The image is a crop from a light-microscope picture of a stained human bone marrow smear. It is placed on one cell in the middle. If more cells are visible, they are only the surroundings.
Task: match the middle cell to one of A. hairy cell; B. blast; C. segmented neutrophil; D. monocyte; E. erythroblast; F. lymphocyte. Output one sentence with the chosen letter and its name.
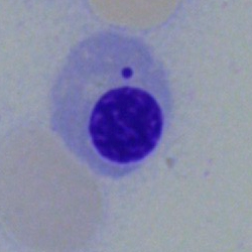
At the centre of the crop lies an erythroblast, which makes option E correct.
